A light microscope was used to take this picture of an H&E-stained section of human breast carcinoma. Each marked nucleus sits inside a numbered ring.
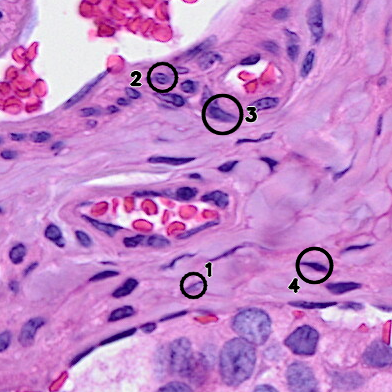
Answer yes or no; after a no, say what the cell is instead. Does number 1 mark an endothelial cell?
No, it is a fibroblast.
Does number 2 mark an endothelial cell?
Yes.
